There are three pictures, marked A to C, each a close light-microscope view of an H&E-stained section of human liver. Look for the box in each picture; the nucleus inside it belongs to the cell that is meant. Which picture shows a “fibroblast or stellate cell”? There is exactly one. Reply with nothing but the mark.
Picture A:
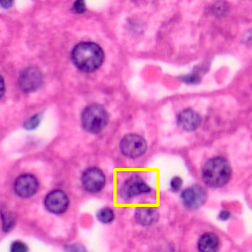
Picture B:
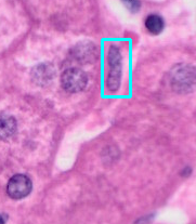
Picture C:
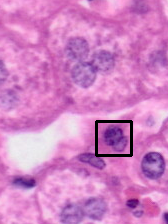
A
